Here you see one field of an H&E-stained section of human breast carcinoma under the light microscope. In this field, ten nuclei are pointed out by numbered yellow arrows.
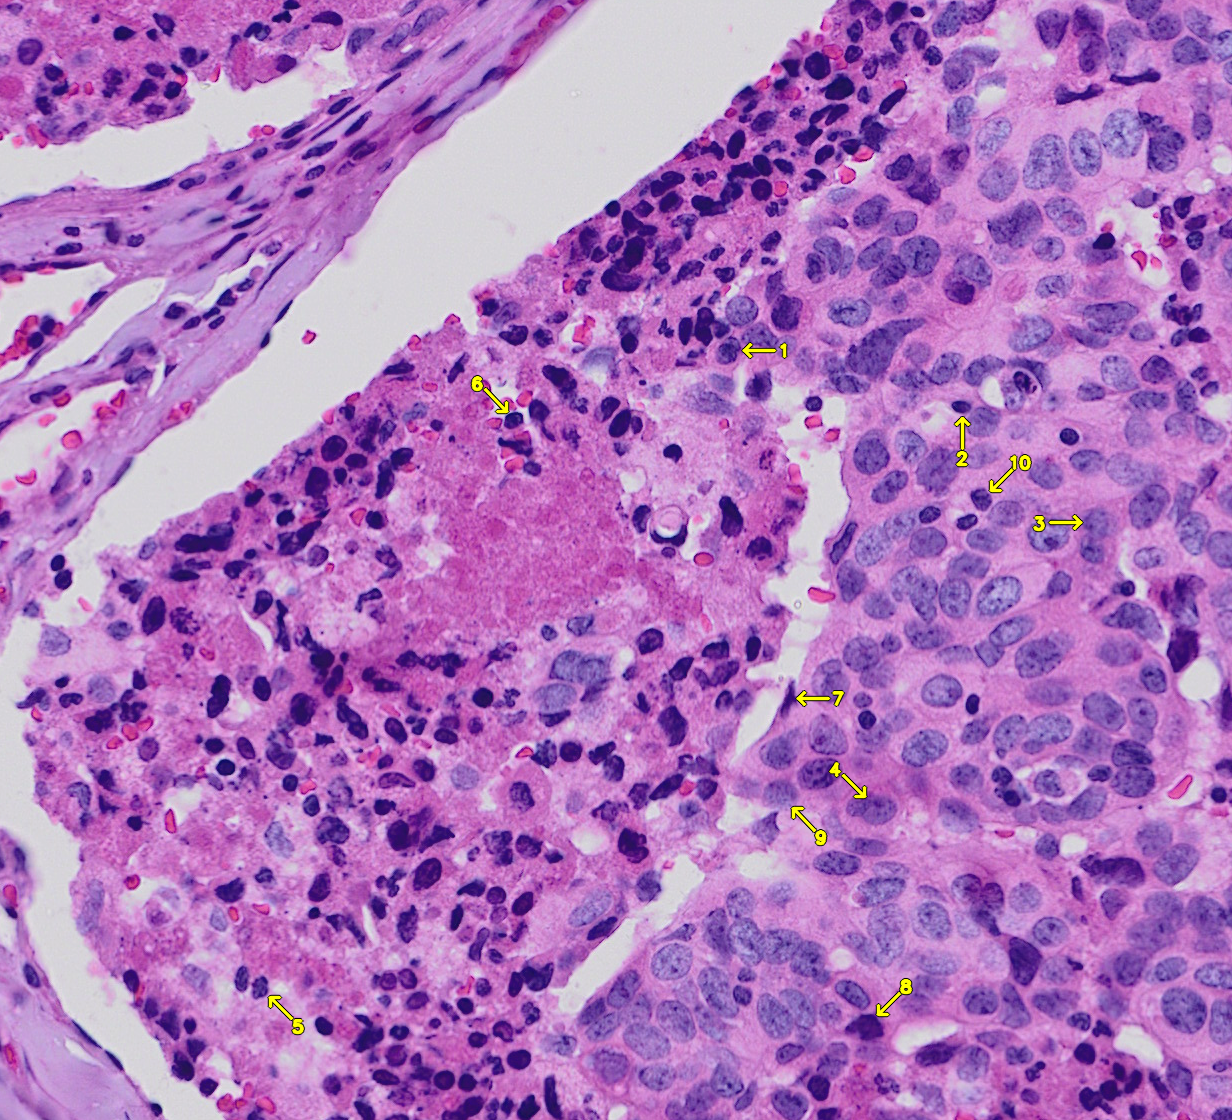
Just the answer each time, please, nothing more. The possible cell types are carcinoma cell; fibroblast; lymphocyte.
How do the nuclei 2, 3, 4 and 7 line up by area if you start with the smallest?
2, 7, 3, 4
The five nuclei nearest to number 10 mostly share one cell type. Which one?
carcinoma cell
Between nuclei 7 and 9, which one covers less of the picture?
7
